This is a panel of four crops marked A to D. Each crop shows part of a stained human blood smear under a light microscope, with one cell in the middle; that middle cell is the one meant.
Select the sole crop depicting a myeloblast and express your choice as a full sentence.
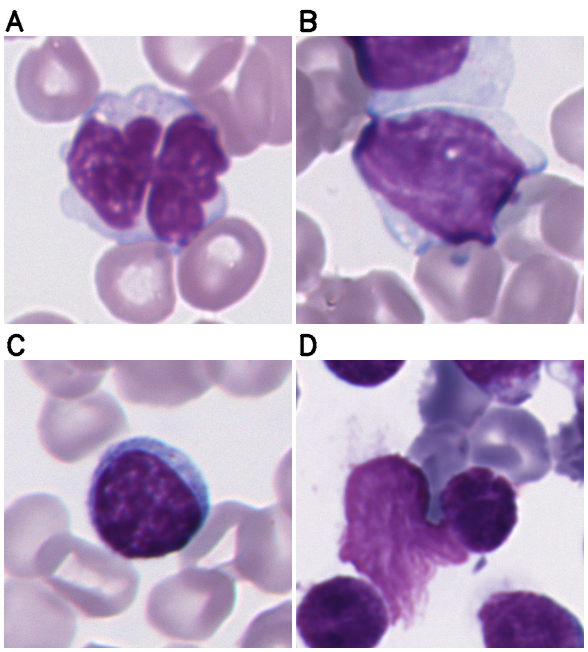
The crop that shows a myeloblast is crop B.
